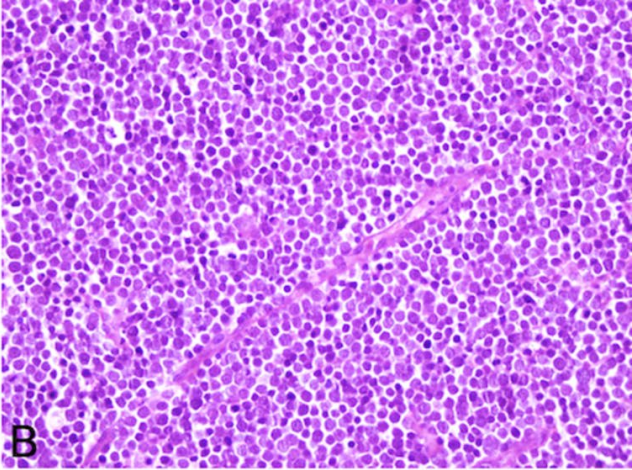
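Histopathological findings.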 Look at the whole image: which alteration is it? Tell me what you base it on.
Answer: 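Round shaped cells with narrow cytoplasm. A dense sheet of uniform round cells. Each cell has a round nucleus with only a thin rim of cytoplasm. A thin vessel crosses the sheet.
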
